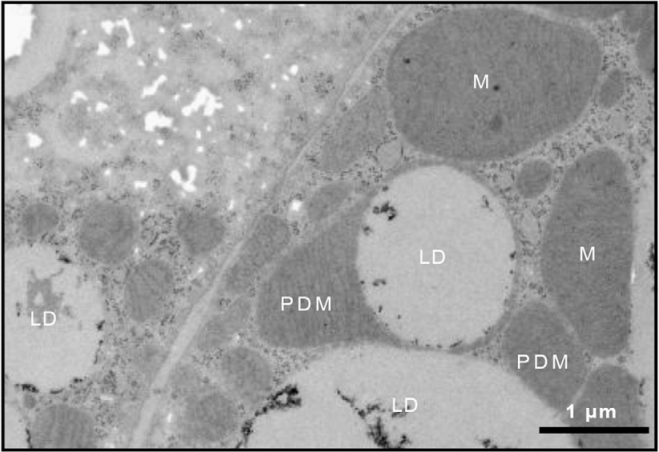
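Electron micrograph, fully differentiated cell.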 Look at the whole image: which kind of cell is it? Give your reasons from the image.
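Adipocytes. Several large round pale droplets fill much of the cytoplasm. Many oval organelles with dense parallel inner membranes lie between the droplets.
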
